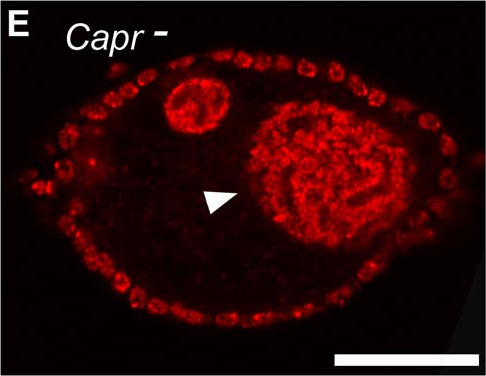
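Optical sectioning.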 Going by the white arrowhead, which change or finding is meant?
nuclei of inappropriate size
